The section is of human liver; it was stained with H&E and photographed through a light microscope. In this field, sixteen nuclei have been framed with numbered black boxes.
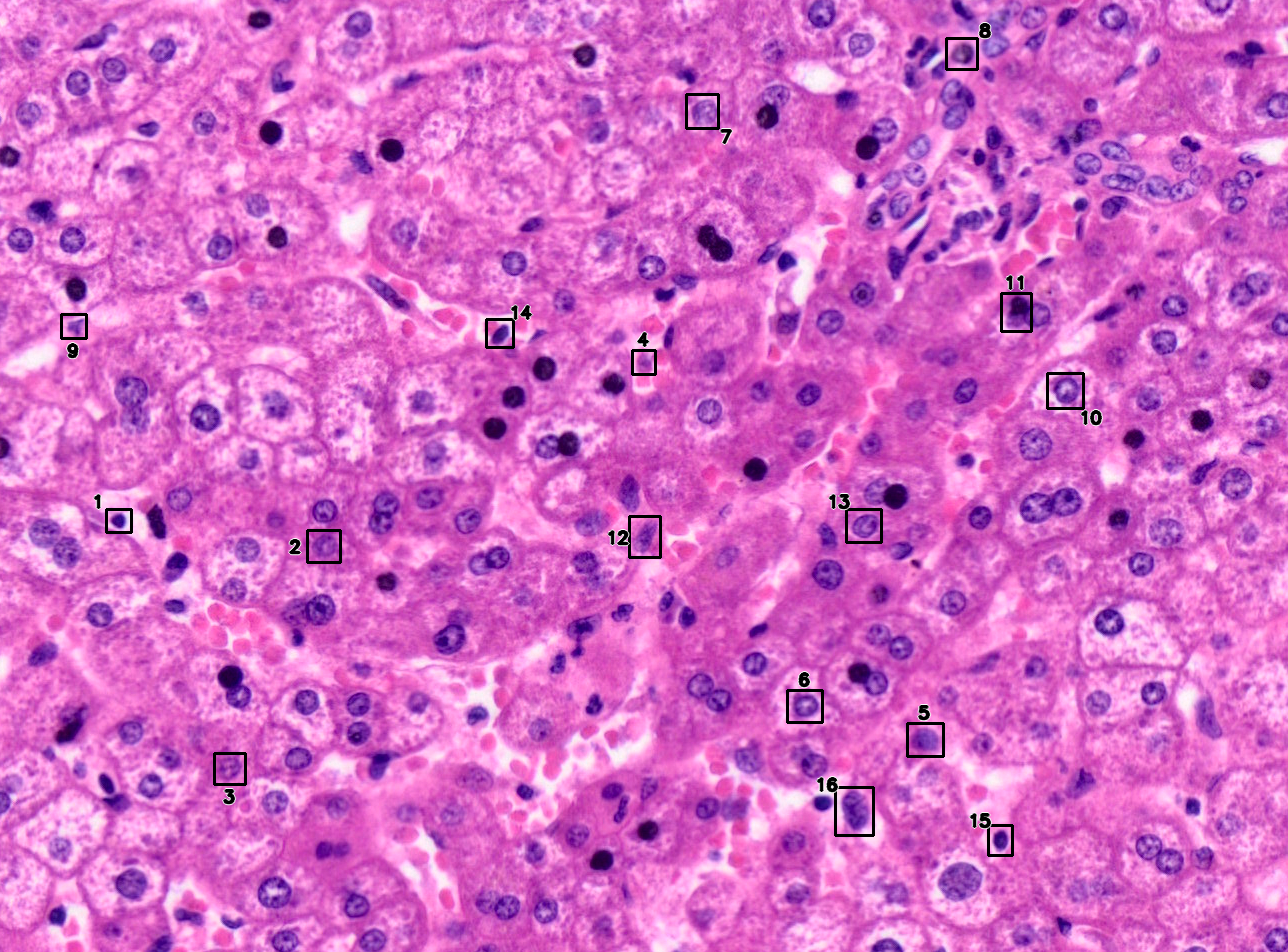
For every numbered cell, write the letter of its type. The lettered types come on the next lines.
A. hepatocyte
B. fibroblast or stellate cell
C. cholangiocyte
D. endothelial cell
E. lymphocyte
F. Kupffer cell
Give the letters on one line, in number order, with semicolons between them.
E; A; A; F; D; A; A; C; D; A; A; B; A; E; E; F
